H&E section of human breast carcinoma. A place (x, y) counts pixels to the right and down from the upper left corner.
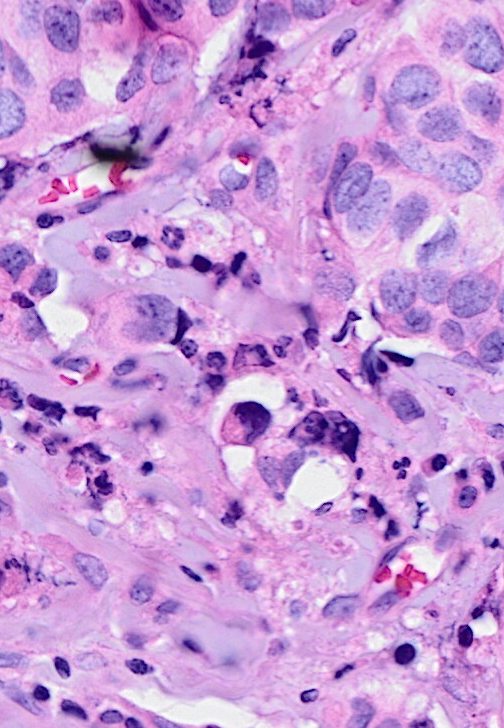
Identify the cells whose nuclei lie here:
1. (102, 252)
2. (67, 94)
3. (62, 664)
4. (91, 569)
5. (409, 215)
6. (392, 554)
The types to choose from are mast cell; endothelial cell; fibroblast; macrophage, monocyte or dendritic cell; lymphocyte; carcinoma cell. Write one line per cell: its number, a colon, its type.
1: mast cell
2: carcinoma cell
3: lymphocyte
4: fibroblast
5: carcinoma cell
6: endothelial cell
